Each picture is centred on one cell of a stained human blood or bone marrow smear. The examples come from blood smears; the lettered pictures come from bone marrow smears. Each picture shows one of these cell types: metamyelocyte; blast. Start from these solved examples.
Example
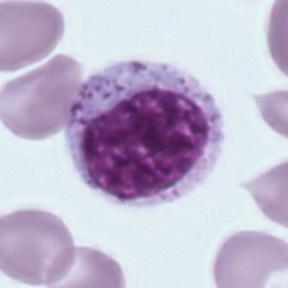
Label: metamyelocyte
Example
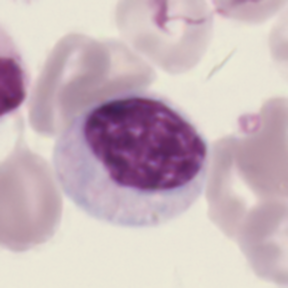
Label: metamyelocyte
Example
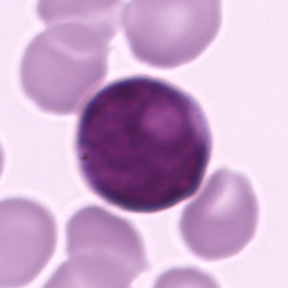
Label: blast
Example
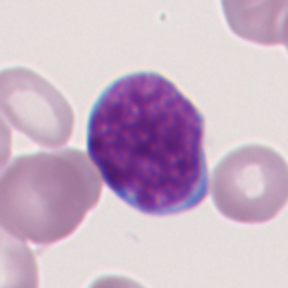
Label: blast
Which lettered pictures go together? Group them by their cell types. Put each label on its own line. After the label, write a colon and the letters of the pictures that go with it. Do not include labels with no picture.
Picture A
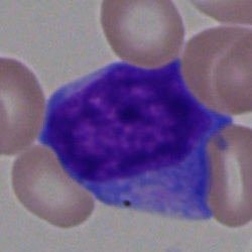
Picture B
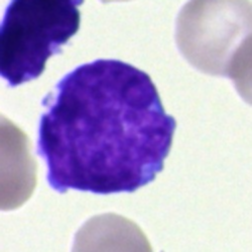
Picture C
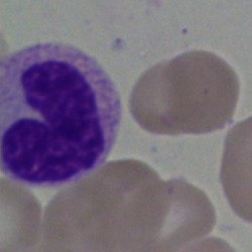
metamyelocyte: C
blast: A, B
